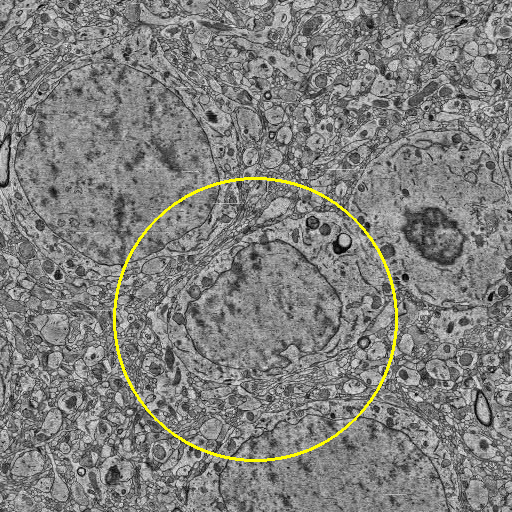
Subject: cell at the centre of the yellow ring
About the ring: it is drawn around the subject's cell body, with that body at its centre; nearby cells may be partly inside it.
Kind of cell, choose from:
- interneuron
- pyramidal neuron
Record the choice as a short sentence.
The subject cell is a pyramidal neuron.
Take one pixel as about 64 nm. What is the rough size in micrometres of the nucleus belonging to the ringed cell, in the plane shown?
Roughly 10 by 8 micrometres is the size of the nucleus in this plane.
